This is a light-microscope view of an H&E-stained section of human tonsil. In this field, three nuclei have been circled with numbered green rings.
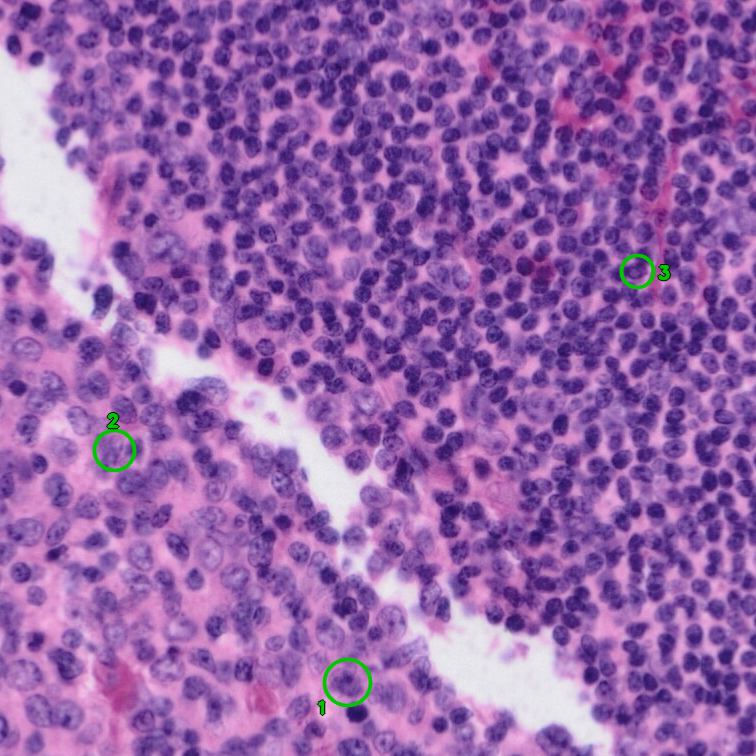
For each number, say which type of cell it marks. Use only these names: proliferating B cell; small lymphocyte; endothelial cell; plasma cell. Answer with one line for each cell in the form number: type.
1: proliferating B cell
2: proliferating B cell
3: small lymphocyte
